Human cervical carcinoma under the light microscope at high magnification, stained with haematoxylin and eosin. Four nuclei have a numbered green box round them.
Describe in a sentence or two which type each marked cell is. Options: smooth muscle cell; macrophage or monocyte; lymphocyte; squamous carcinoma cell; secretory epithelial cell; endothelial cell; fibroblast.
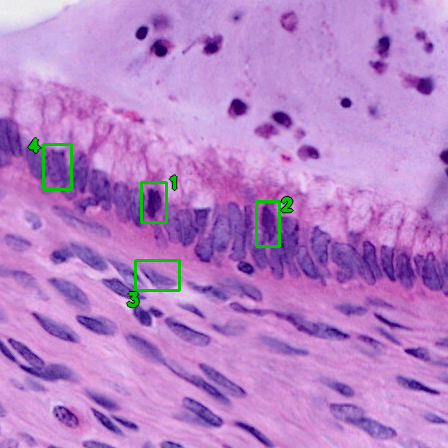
Cell 1 is a secretory epithelial cell, cell 2 is a secretory epithelial cell, cell 3 is a fibroblast and cell 4 is a secretory epithelial cell.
